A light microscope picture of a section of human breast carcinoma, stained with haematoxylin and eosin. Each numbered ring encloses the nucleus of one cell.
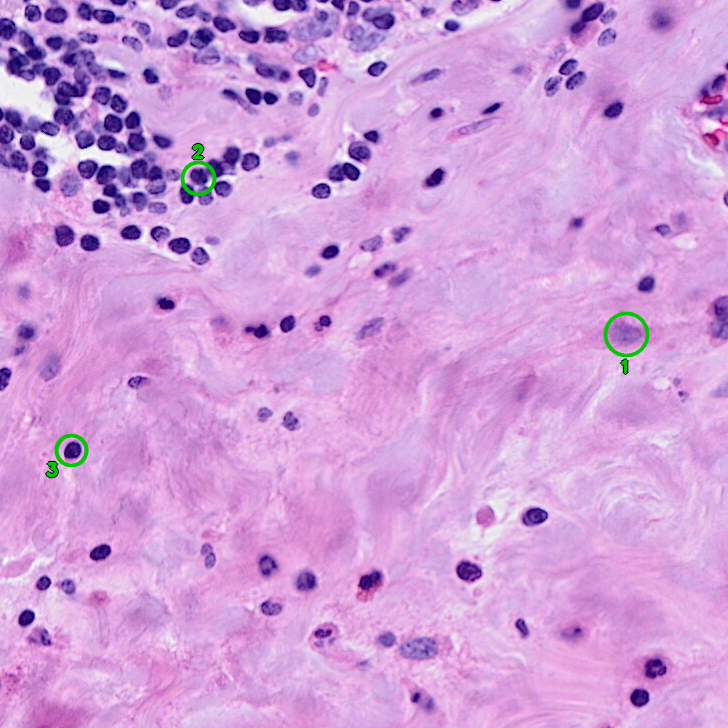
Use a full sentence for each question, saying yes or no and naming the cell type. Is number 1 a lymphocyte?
No, cell 1, which is a fibroblast, is not a lymphocyte.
